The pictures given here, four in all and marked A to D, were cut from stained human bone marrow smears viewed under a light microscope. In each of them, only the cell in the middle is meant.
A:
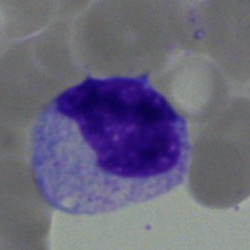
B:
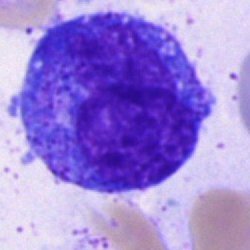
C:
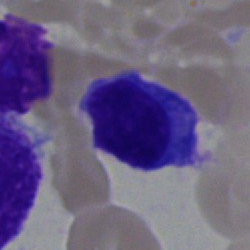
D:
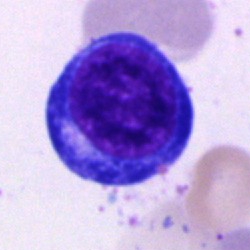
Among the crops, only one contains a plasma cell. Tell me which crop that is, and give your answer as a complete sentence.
Crop C is the one that shows a plasma cell.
